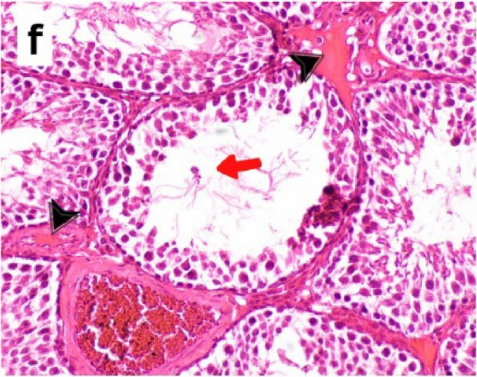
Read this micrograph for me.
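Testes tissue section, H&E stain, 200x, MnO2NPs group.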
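Seminiferous tubules of testis with germinal epithelium of dark round nuclei around a largely empty lumen holding a few loose cells and pale strands. The interstitial spaces between tubules are filled with homogeneous pink material, and a vessel below is packed with red blood cells.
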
